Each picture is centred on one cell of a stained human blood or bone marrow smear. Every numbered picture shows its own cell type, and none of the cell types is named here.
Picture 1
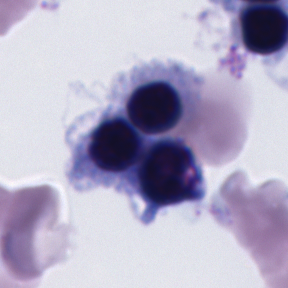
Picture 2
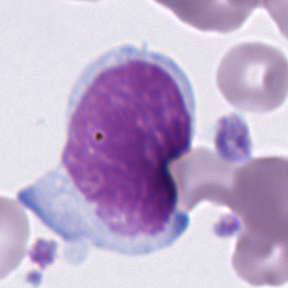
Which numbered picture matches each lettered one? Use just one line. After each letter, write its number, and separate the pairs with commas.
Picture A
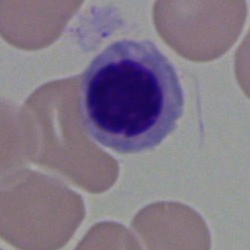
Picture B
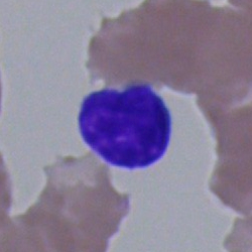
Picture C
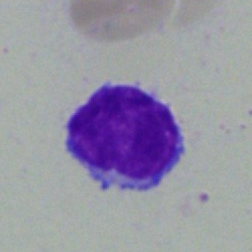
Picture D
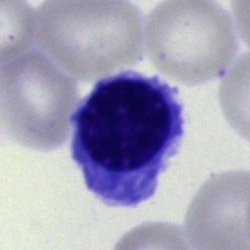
A 1, B 2, C 2, D 1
